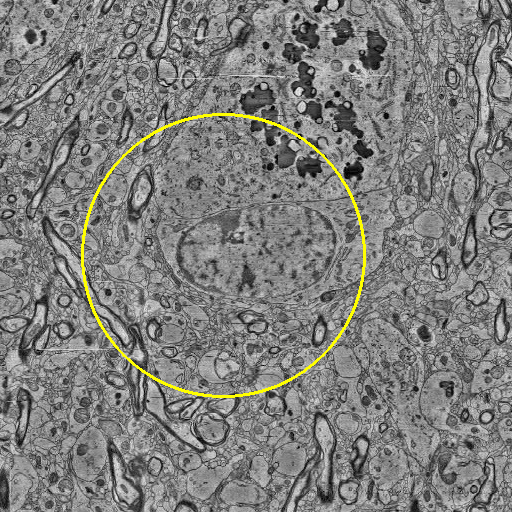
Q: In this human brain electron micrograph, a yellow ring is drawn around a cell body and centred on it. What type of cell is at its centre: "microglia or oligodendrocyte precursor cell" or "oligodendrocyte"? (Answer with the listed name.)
microglia or oligodendrocyte precursor cell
